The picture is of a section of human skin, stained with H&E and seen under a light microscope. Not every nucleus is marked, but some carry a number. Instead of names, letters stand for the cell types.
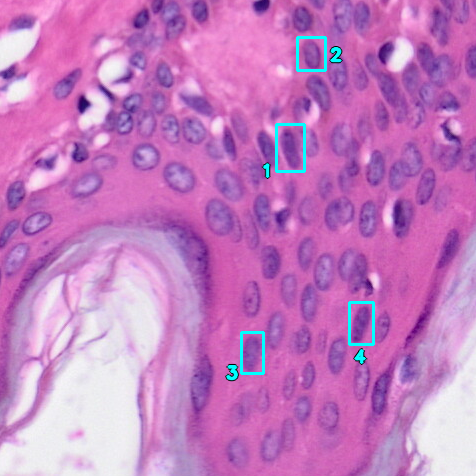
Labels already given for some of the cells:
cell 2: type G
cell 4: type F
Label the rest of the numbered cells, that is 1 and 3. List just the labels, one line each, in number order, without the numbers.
type G
type F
